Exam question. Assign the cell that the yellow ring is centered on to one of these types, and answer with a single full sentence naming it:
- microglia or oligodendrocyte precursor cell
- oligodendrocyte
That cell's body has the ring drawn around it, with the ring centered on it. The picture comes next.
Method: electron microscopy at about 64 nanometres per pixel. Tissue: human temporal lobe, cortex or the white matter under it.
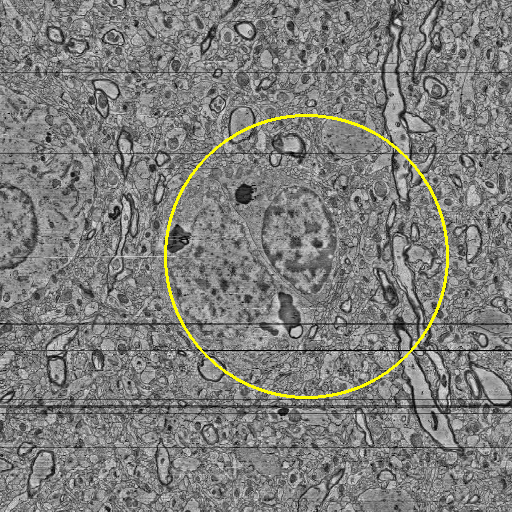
In the micrograph, the cell the yellow ring is centered on is an oligodendrocyte.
